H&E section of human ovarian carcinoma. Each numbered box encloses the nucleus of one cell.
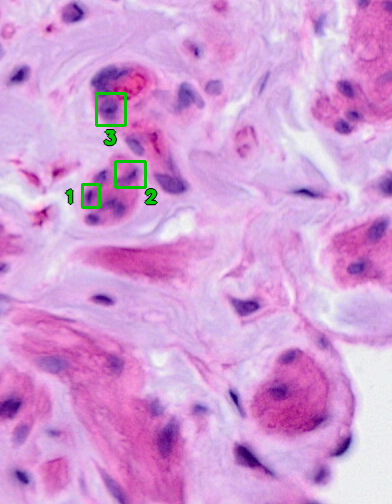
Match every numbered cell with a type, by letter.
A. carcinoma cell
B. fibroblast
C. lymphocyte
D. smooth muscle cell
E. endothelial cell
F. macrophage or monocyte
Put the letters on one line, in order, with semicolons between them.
D; D; E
